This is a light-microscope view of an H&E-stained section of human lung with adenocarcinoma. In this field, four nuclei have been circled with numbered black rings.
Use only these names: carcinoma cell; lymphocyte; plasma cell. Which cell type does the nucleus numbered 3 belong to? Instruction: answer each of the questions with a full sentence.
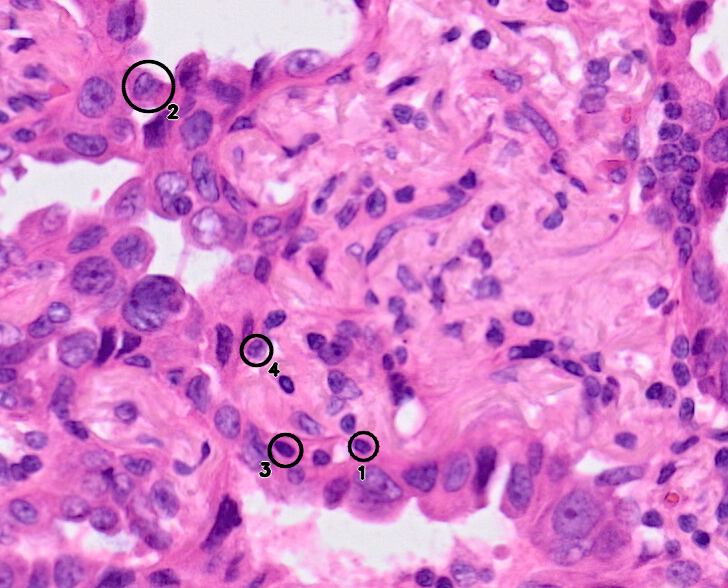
The numbered cell 3 in this field is a lymphocyte.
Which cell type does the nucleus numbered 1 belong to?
Cell 1 should be recorded as a lymphocyte.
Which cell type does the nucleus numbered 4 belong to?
Classified as a lymphocyte is the cell with the number 4.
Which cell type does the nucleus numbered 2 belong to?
The cell indicated with the number 2 is classed as a carcinoma cell.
